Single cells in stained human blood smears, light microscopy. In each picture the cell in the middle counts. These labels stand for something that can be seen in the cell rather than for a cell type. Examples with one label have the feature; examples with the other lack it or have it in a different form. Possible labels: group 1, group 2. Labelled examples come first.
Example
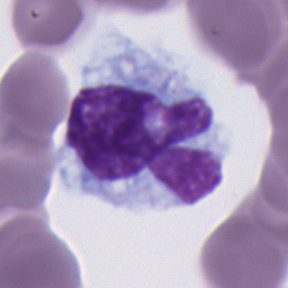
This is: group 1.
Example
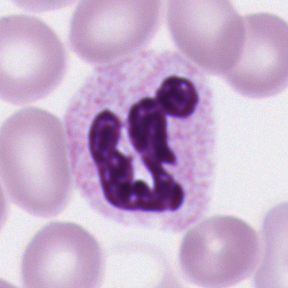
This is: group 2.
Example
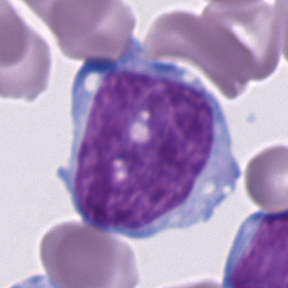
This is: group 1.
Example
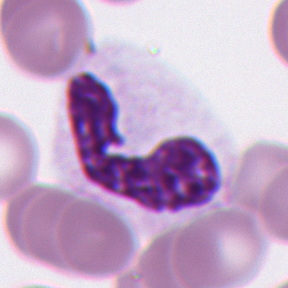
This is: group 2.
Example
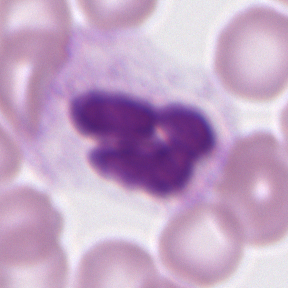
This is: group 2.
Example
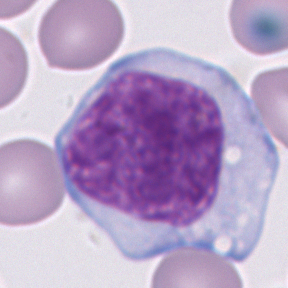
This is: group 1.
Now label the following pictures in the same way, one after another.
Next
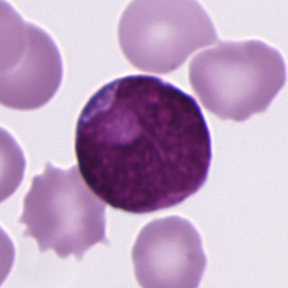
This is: group 2.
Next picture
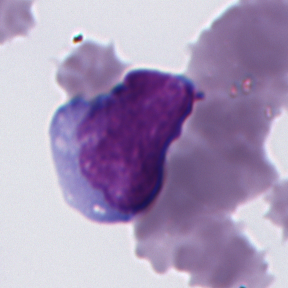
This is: group 1.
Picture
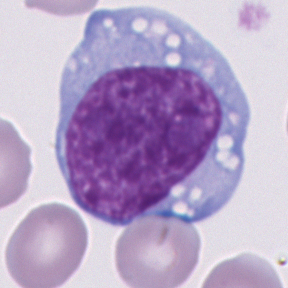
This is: group 1.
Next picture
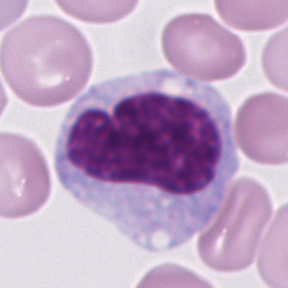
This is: group 1.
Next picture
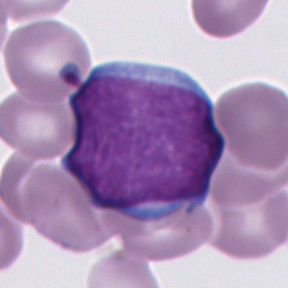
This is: group 2.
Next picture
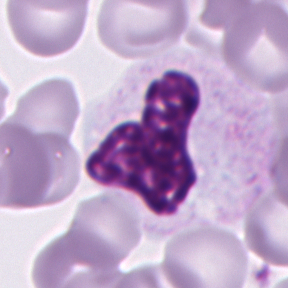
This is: group 2.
